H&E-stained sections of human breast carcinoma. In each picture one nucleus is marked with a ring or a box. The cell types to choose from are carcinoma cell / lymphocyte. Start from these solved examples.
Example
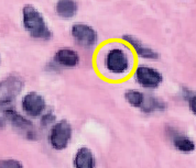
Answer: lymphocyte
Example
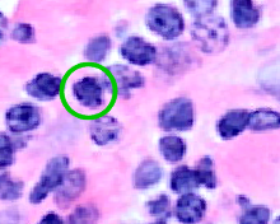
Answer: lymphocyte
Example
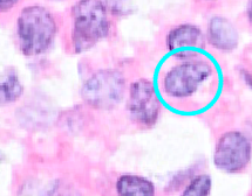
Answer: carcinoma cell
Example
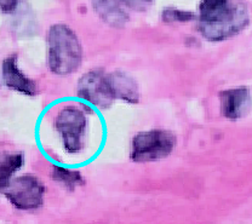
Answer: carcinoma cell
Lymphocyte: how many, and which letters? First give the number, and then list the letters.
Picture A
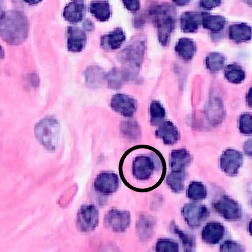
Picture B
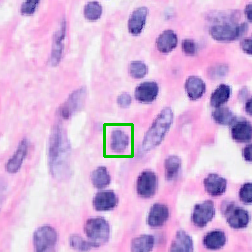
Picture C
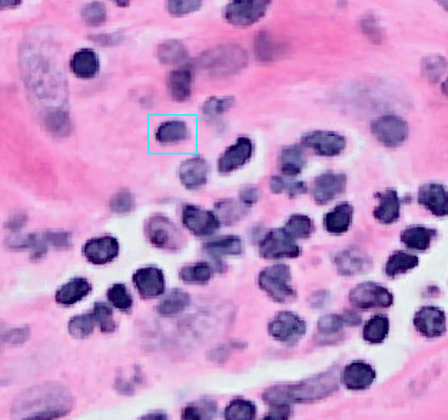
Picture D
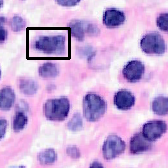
4, namely A, B, C, D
